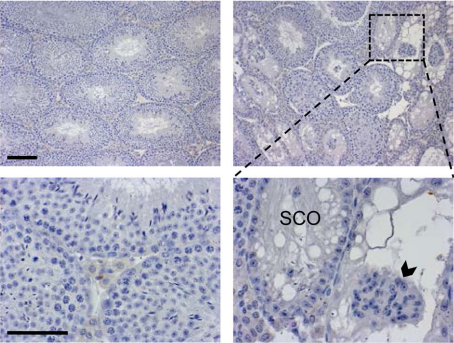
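These are cross-sections of seminiferous tubules in a blue-stained testis. On the left the tubules are packed with many layers of cells around central lumens. On the right many tubules are small and thin-walled, with pale, vacuolated epithelium and few cell layers, and the enlargement shows such a vacuolated tubule beside a small compact cluster of cells.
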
